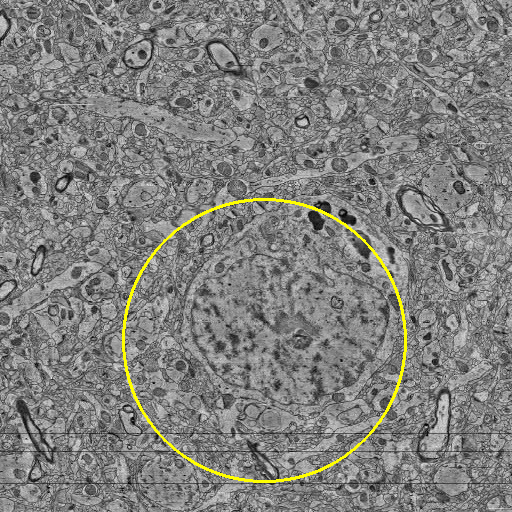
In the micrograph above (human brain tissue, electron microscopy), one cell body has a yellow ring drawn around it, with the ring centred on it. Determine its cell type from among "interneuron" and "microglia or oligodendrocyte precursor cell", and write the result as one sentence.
The cell whose body is ringed is an interneuron.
